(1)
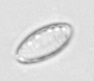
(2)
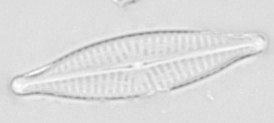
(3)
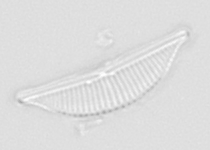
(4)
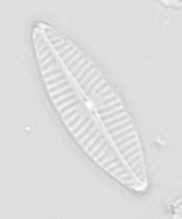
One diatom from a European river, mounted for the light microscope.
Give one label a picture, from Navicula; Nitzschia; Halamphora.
1: Nitzschia
2: Navicula
3: Halamphora
4: Navicula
